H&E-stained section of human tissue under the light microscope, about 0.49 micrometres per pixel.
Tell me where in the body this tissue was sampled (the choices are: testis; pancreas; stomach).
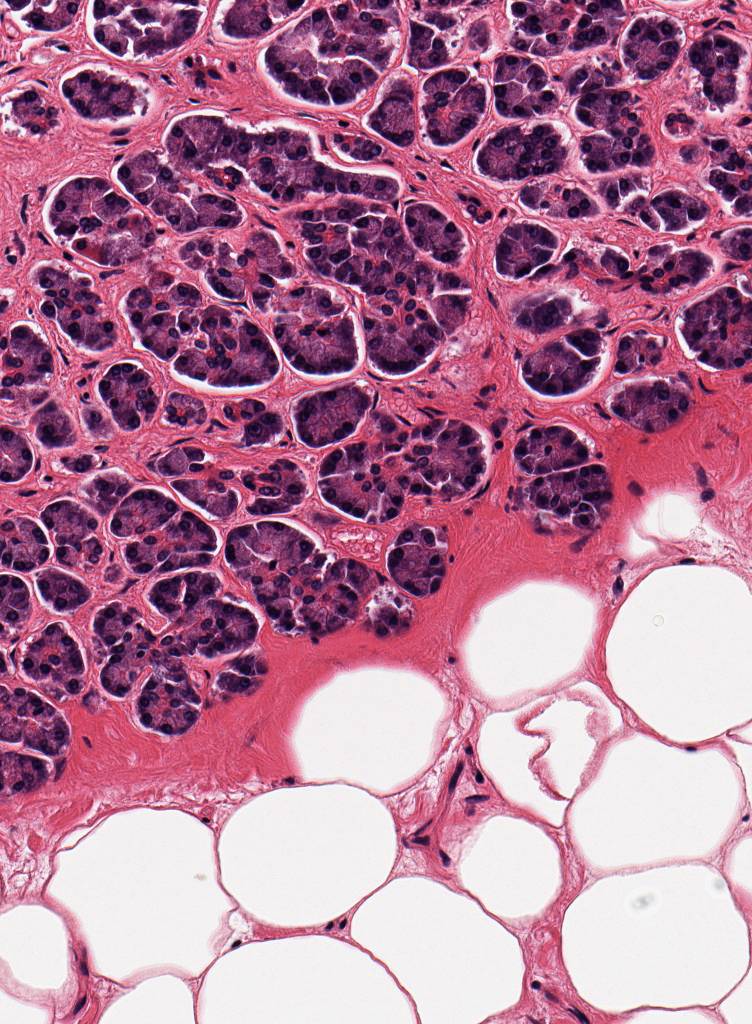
pancreas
